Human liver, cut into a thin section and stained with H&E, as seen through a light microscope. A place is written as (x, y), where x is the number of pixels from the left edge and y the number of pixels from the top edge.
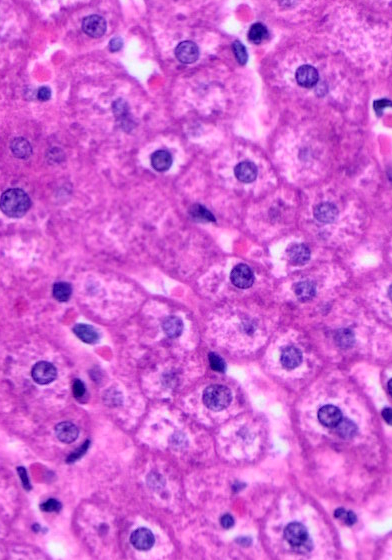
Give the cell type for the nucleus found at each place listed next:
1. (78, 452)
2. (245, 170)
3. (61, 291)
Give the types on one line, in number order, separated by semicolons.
fibroblast or stellate cell; hepatocyte; fibroblast or stellate cell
